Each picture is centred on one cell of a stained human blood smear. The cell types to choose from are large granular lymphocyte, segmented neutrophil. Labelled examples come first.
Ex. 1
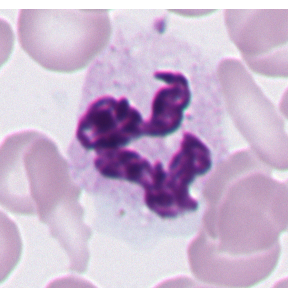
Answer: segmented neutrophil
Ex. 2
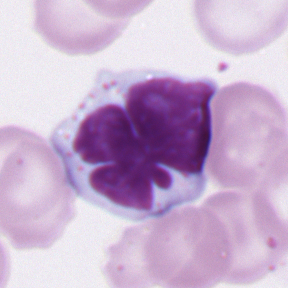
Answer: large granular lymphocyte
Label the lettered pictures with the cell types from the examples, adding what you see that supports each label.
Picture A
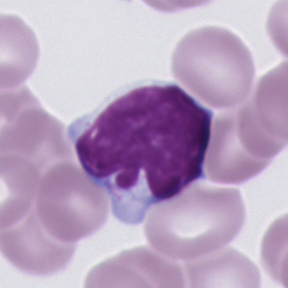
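Label: large granular lymphocyte. The cytoplasm is a scant pale blue rim, widest at the lower left.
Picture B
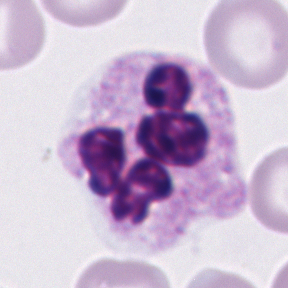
Label: segmented neutrophil. The cytoplasm is plentiful and pale pinkish-lilac.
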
